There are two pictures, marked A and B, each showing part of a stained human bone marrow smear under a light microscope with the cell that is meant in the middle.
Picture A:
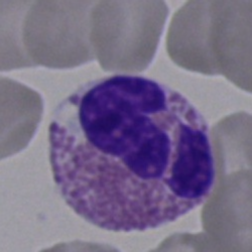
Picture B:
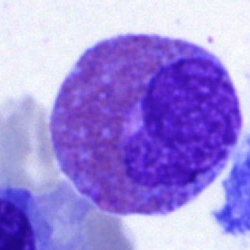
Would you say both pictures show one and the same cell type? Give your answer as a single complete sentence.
Yes, both cells are eosinophils.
